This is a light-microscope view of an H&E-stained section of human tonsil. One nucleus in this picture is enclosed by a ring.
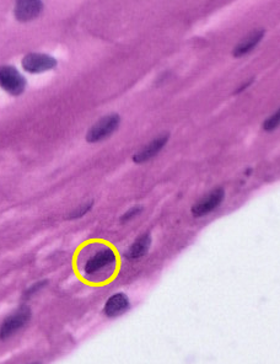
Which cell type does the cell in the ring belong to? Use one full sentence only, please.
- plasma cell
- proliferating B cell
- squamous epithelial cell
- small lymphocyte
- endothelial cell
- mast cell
With respect to cell type, the cell in the ring is a squamous epithelial cell.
